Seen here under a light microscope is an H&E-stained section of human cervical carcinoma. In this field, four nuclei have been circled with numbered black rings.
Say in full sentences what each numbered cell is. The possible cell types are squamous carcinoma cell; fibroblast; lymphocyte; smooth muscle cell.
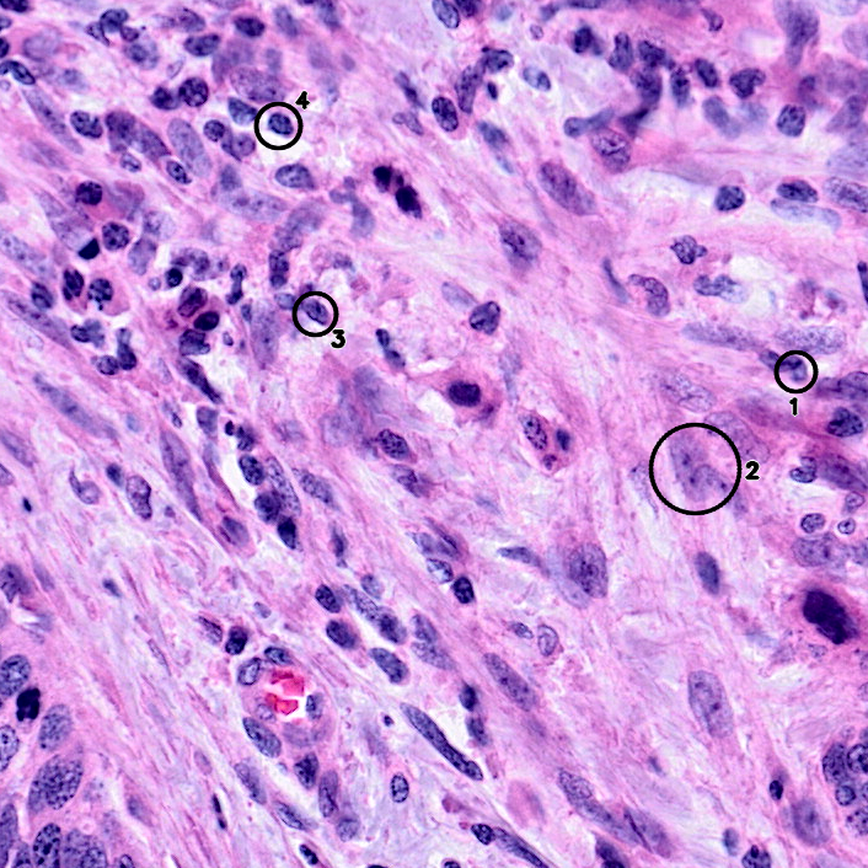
Cells 1, 3 and 4 are lymphocytes. Cell 2 is a fibroblast.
